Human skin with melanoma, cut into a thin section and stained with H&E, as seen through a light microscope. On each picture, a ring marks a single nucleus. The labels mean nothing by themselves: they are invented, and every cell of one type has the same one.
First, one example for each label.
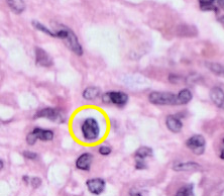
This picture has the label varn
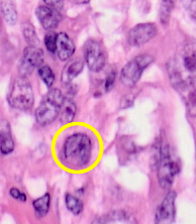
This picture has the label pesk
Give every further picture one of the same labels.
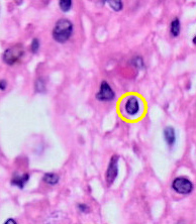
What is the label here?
varn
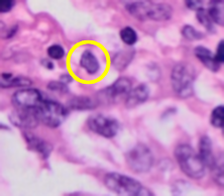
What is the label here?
varn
